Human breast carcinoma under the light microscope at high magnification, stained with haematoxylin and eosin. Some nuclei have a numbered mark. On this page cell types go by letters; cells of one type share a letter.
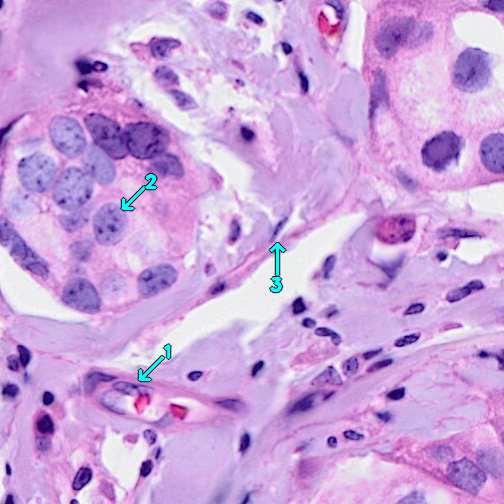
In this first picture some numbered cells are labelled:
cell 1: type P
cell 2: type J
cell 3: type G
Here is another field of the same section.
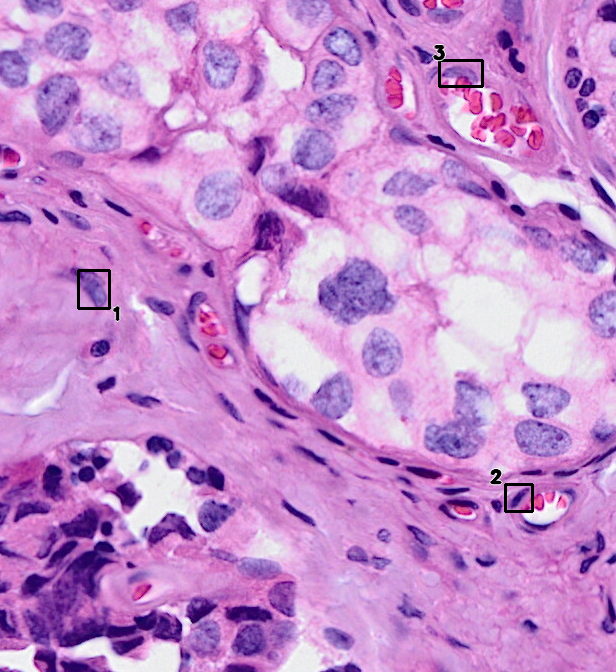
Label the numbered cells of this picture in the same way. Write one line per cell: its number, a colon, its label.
1: type G
2: type P
3: type P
